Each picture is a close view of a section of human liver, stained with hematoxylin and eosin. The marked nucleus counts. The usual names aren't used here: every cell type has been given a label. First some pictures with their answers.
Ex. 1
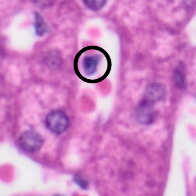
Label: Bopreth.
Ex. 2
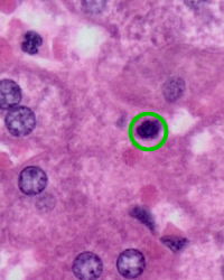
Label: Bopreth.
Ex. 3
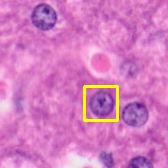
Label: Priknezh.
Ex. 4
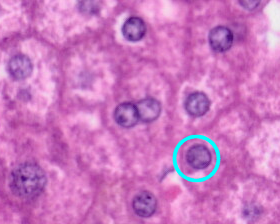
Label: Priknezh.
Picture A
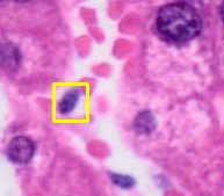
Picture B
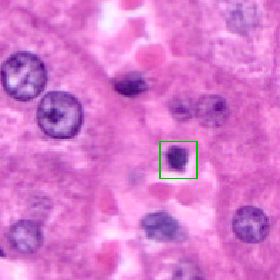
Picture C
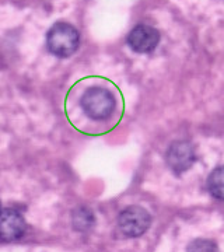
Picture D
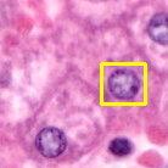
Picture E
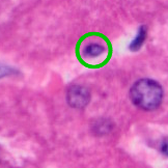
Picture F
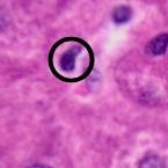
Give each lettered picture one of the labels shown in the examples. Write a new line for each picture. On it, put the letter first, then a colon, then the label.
A: Bopreth.
B: Bopreth.
C: Priknezh.
D: Priknezh.
E: Bopreth.
F: Bopreth.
